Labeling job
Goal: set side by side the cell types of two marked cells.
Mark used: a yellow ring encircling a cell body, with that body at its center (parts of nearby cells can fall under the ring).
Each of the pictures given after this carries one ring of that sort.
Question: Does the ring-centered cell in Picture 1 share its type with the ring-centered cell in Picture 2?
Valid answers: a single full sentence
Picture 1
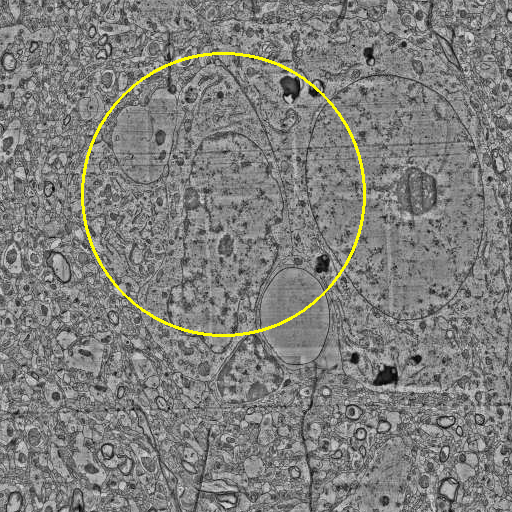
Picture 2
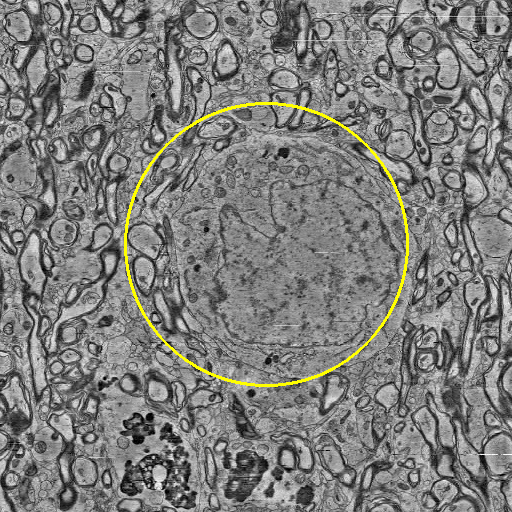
Yes, in Pictures 1 and 2 the cells at the ring centers share one type.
